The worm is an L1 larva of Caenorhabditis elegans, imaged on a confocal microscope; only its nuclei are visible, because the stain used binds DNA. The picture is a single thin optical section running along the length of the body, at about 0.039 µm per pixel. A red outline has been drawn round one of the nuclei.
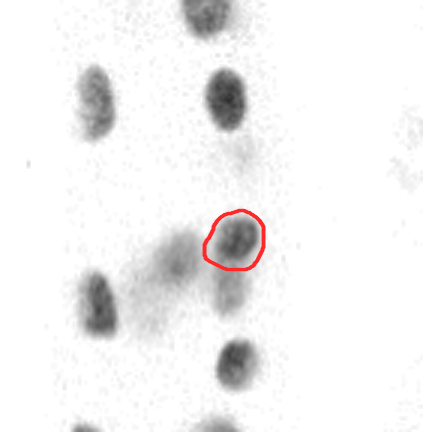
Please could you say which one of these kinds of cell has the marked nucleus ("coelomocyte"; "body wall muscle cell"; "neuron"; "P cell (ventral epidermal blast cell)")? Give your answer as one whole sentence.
The cell with the marked nucleus is a coelomocyte.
